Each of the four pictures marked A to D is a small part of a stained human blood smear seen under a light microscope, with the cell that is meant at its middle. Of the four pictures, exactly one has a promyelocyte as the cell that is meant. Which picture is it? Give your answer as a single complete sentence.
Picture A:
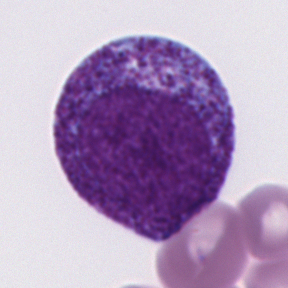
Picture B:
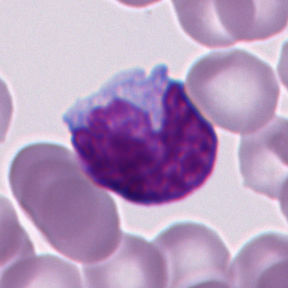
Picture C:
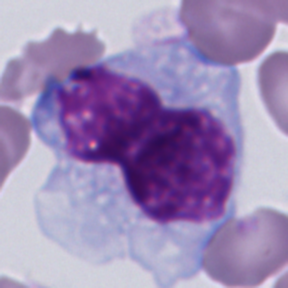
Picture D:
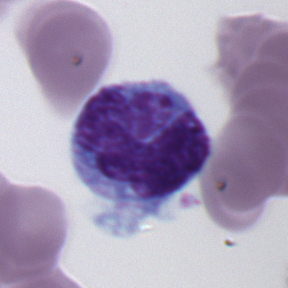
Picture A shows the promyelocyte.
